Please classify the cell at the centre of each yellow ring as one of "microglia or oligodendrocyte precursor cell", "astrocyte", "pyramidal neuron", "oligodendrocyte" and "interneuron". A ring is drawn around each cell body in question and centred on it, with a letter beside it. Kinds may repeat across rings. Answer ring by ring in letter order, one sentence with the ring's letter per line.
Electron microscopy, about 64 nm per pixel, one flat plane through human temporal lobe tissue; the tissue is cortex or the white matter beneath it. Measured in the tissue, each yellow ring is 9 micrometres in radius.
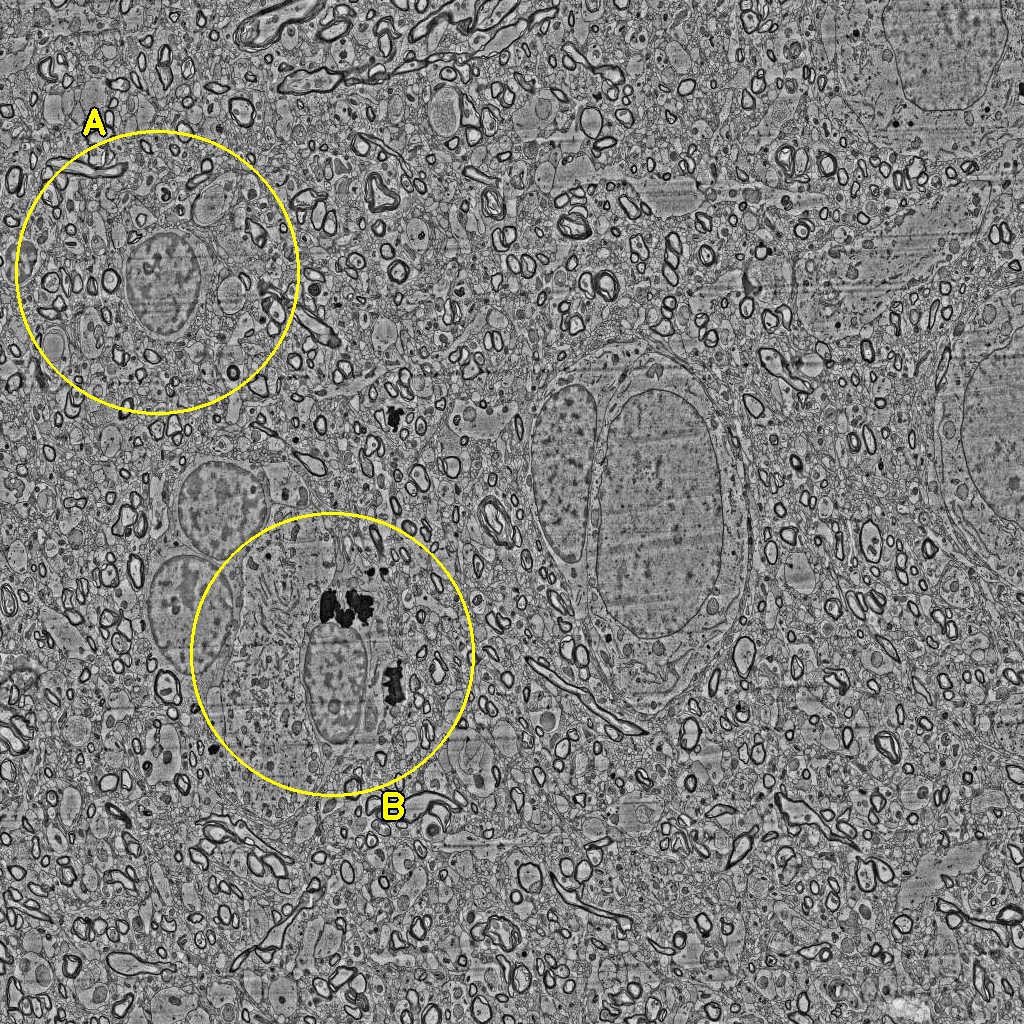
The cell at the heart of ring A is an oligodendrocyte.
The cell at the heart of ring B is an oligodendrocyte.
